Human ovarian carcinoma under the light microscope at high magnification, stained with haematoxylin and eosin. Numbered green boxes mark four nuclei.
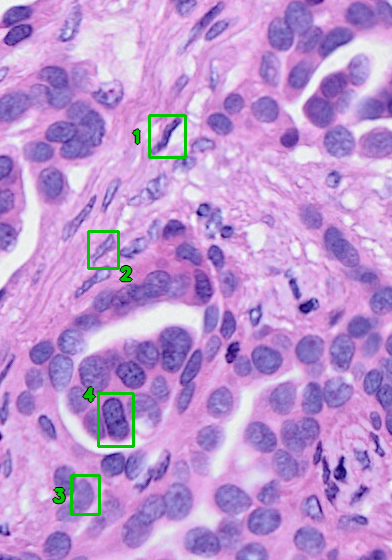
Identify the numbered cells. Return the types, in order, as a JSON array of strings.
["fibroblast", "fibroblast", "carcinoma cell", "carcinoma cell"]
